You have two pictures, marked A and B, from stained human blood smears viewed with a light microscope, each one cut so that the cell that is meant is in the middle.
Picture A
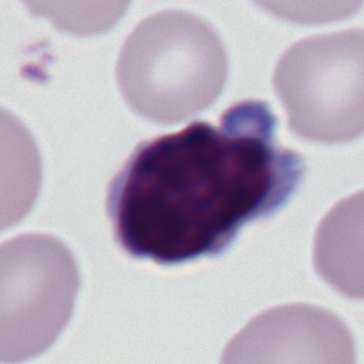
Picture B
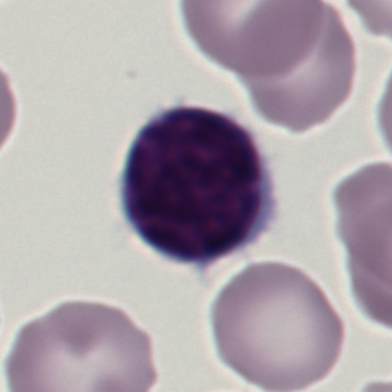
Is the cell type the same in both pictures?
no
